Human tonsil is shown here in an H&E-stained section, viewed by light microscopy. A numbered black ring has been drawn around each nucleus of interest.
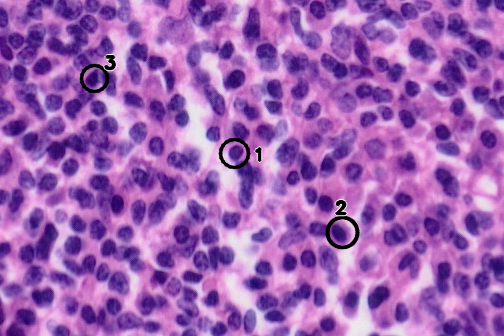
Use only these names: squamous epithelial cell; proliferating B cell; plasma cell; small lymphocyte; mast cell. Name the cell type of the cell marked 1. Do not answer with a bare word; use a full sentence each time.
The cell referred to as 1 is a small lymphocyte.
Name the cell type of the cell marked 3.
Cell number 3 in this section is a small lymphocyte.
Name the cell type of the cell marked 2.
The cell referenced by the number 2 is a plasma cell in this field.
